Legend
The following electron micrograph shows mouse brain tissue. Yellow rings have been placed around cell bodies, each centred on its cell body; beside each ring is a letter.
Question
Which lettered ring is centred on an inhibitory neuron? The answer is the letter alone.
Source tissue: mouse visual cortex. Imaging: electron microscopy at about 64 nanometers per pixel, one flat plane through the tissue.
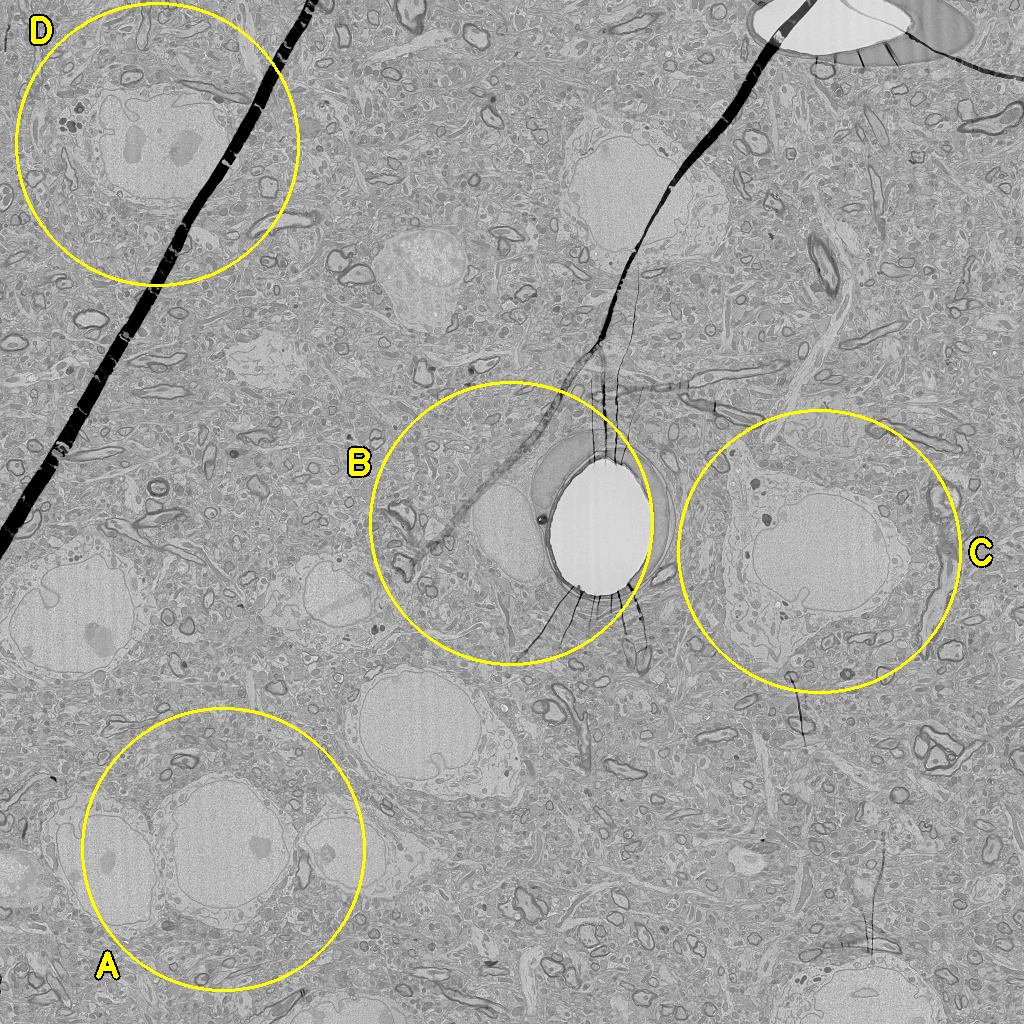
D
